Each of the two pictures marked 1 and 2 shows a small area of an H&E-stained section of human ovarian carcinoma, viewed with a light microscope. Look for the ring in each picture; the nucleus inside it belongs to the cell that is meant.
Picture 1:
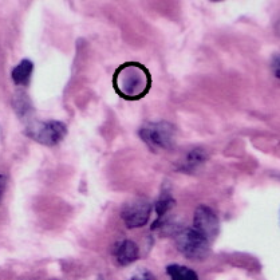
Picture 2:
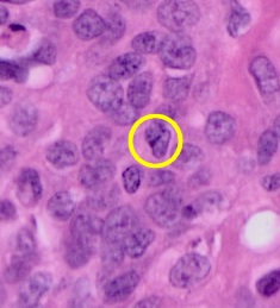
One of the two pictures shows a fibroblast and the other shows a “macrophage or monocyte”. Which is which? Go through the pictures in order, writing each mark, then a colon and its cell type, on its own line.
1: fibroblast
2: macrophage or monocyte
